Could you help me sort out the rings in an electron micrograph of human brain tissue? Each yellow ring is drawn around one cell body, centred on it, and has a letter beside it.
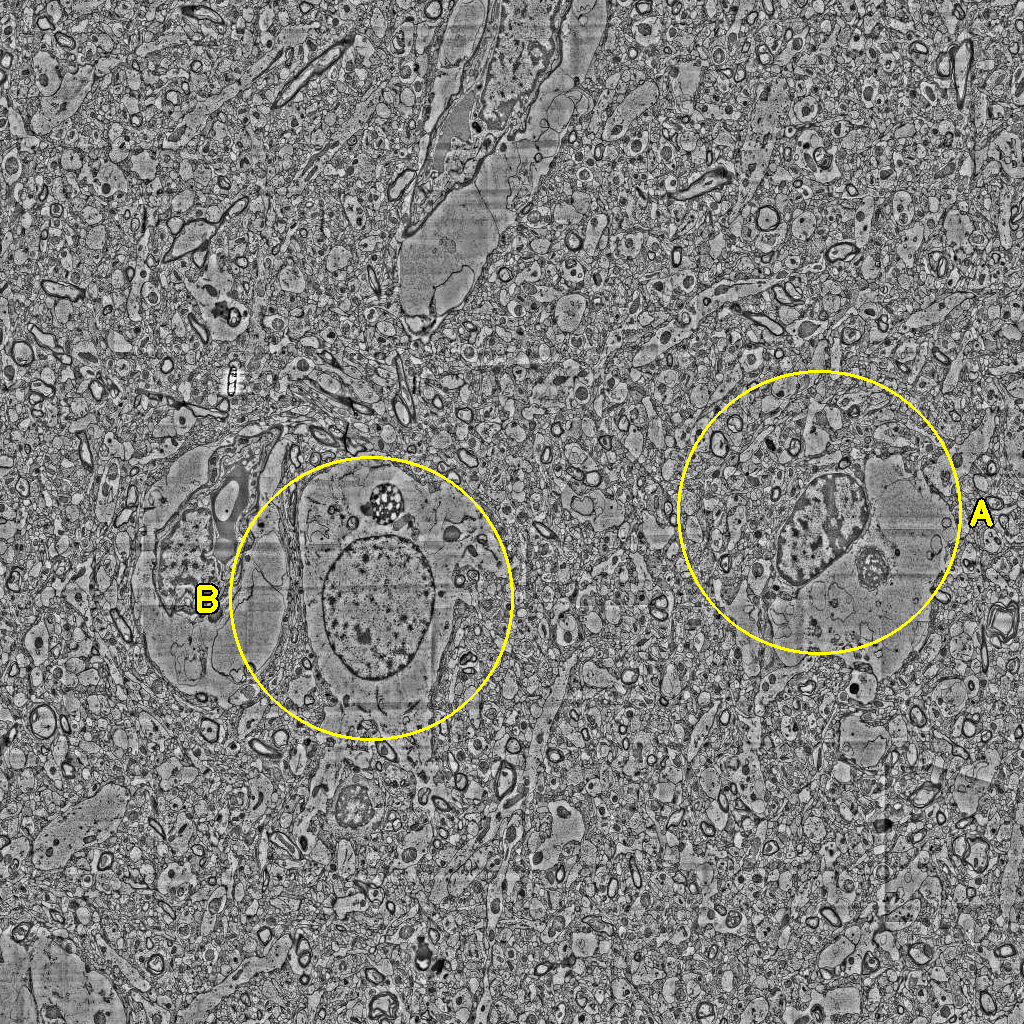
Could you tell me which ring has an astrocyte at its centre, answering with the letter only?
B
